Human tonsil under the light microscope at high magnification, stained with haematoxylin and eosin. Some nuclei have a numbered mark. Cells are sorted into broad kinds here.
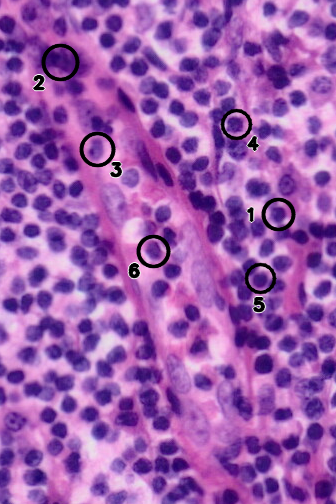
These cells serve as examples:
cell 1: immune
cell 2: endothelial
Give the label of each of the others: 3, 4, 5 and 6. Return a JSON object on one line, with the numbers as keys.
{"3": "endothelial", "4": "immune", "5": "immune", "6": "endothelial"}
